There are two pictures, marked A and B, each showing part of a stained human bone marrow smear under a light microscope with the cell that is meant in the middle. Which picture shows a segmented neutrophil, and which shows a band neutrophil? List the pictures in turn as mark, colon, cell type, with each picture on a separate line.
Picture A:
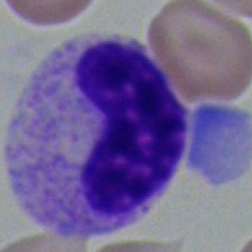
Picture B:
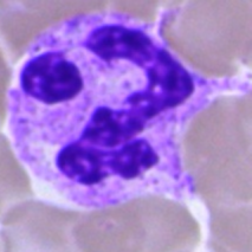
A: band neutrophil
B: segmented neutrophil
